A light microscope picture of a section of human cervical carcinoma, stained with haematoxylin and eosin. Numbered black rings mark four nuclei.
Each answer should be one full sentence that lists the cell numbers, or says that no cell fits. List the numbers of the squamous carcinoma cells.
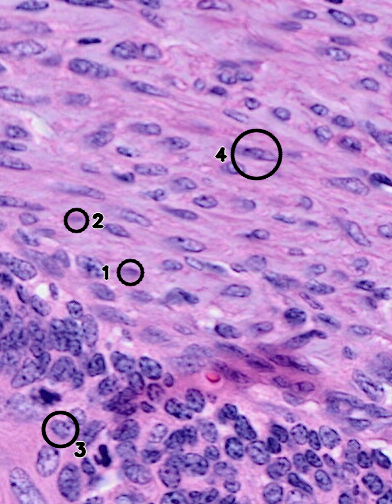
Only the cell numbered 3 is a squamous carcinoma cell; none of the others is.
